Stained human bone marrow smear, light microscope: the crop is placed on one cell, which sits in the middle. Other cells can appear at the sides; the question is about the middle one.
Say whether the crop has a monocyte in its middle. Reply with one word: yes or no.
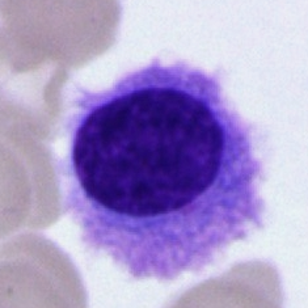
no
